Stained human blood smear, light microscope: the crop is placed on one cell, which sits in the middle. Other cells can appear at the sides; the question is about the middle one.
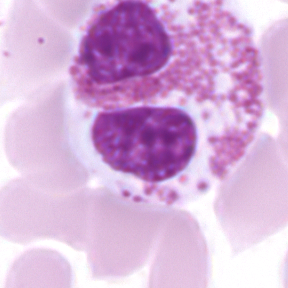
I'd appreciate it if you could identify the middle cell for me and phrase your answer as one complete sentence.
The middle of this crop holds an eosinophil.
